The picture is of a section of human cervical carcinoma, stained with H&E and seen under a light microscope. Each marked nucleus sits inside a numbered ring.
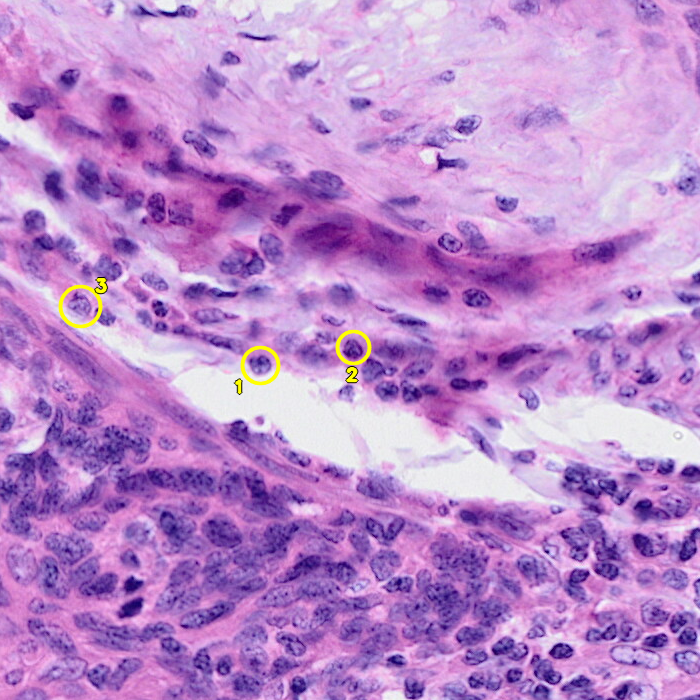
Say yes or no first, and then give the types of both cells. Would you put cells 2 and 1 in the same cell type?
Yes: cells 2 and 1 are both lymphocytes.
